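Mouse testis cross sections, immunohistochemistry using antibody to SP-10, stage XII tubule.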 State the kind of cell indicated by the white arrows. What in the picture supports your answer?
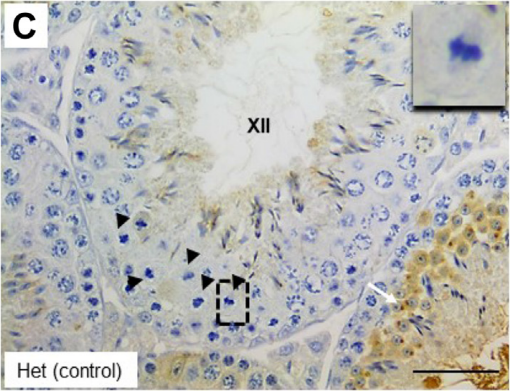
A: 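The arrowed cells are small round cells with round nuclei. They sit in a brown-stained layer of a neighbouring tubule.
Round spermatids.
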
